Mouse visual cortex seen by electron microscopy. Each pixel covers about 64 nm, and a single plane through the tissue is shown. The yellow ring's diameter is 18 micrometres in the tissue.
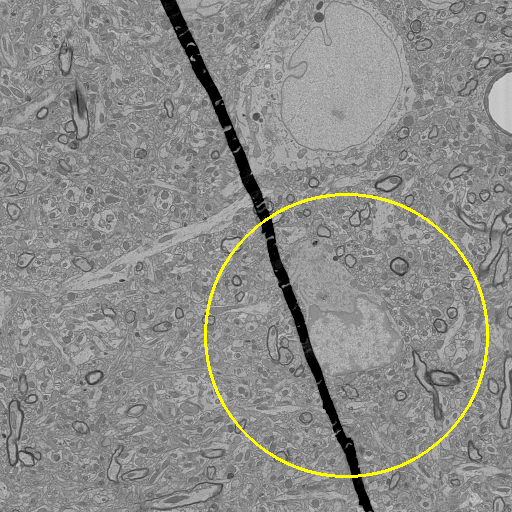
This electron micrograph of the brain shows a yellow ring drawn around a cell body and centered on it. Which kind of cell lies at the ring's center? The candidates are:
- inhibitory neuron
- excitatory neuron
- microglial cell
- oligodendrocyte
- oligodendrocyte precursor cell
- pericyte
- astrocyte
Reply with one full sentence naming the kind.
The cell lying at the ring's center in this micrograph is an oligodendrocyte.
